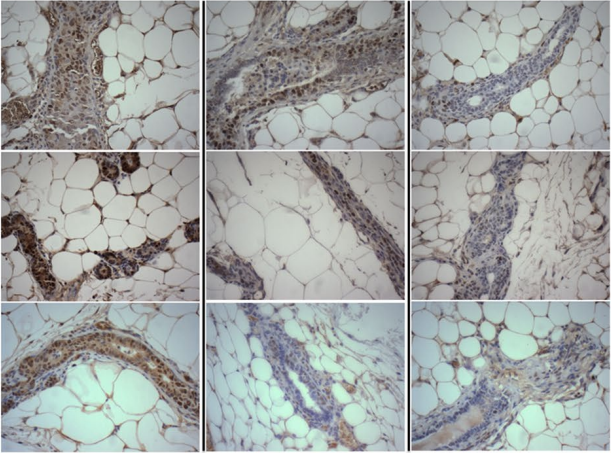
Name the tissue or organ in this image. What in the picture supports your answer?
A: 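Epithelial ducts lie scattered in a field of large empty-looking fat cells. The fat cells have thin rims of cytoplasm around clear lipid spaces. The ducts are tubes of closely packed cells with round nuclei. On this evidence: mammary gland.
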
